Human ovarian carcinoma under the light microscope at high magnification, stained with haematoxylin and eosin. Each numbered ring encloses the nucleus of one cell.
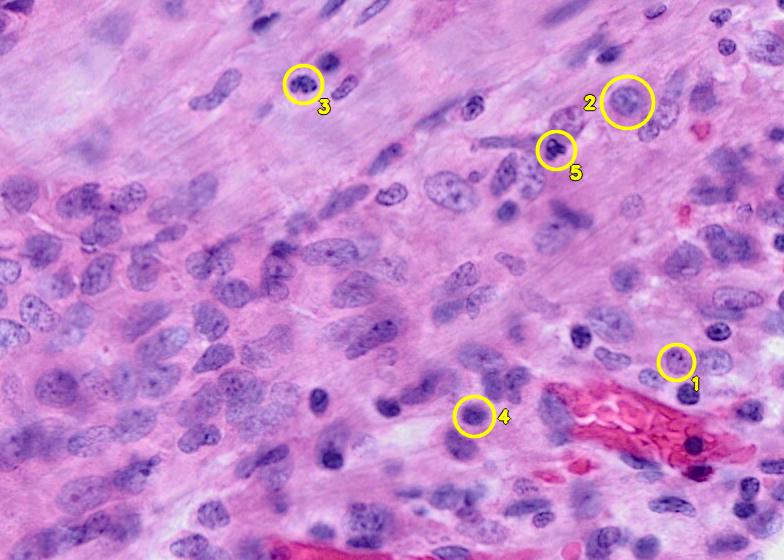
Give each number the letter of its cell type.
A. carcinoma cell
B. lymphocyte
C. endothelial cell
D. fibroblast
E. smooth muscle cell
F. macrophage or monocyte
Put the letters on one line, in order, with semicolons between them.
F; D; B; B; B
